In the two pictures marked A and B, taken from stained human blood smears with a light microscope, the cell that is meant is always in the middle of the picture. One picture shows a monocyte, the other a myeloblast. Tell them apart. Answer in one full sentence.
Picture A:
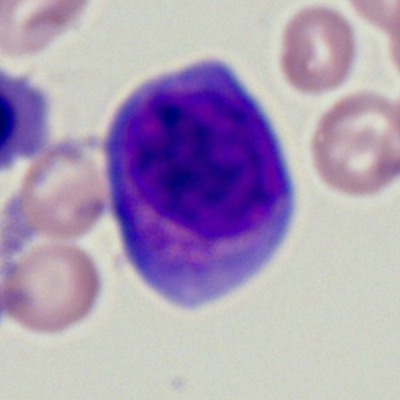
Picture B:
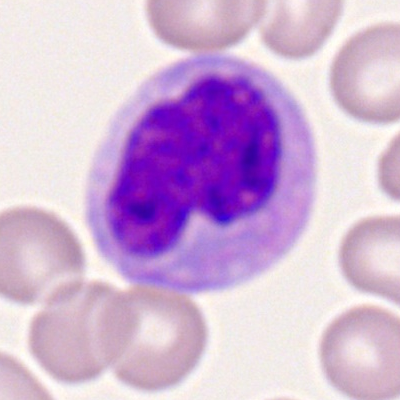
Picture B shows a monocyte, while picture A shows a myeloblast.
